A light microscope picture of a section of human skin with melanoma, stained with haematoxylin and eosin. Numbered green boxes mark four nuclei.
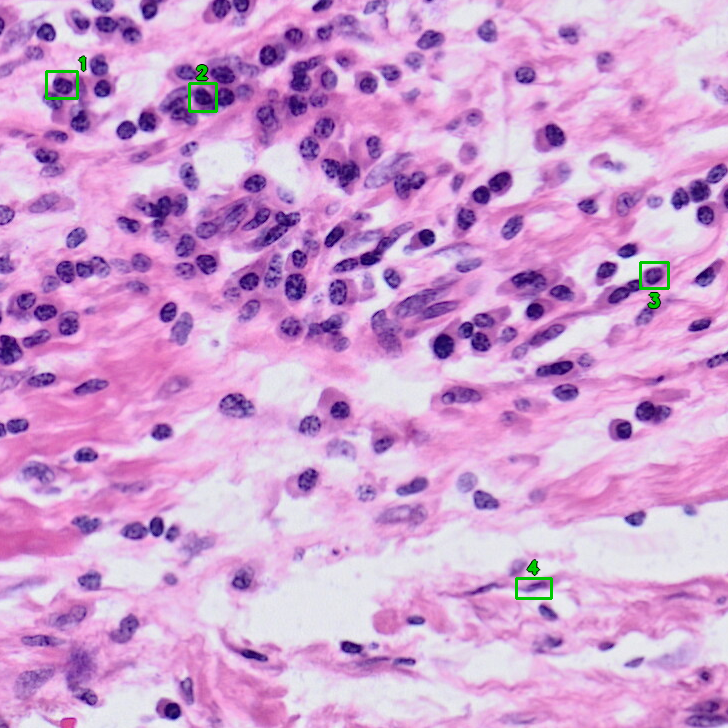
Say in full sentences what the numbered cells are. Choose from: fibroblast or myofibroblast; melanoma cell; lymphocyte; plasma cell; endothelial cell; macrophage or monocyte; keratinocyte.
Cell 1 is a plasma cell, cell 2 is a plasma cell, cell 3 is a plasma cell and cell 4 is a fibroblast or myofibroblast.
